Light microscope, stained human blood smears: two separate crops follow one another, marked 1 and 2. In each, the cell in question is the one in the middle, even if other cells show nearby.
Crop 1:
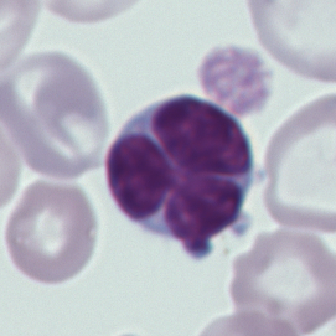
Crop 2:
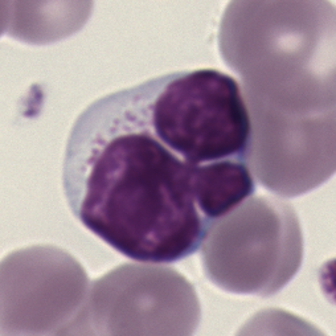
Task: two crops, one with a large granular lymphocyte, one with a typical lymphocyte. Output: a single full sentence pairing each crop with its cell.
As for the pair, crop 1 is a typical lymphocyte and crop 2 is a large granular lymphocyte.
